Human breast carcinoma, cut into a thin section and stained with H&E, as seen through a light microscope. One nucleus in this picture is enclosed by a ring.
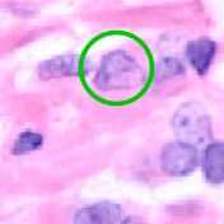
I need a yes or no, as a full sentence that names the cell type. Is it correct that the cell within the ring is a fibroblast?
No, the identity of the cell within the ring is a carcinoma cell, not a fibroblast.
